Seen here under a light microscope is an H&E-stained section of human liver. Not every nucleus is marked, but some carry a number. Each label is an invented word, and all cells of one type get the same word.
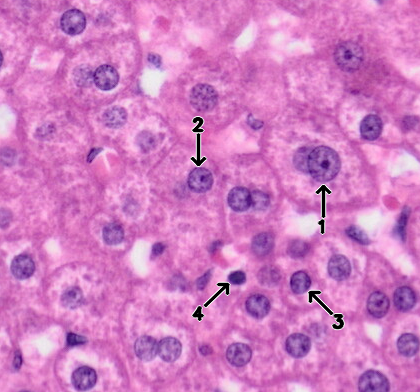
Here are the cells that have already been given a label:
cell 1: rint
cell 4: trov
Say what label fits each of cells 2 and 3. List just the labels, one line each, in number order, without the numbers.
rint
rint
